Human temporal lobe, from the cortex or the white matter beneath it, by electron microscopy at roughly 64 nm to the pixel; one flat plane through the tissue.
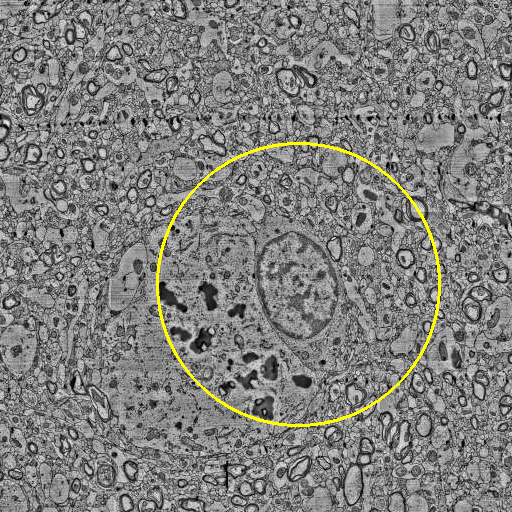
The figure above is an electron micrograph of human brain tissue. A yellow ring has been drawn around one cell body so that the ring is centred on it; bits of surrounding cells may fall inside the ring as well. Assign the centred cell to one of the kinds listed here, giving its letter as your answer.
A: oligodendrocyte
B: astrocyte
A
